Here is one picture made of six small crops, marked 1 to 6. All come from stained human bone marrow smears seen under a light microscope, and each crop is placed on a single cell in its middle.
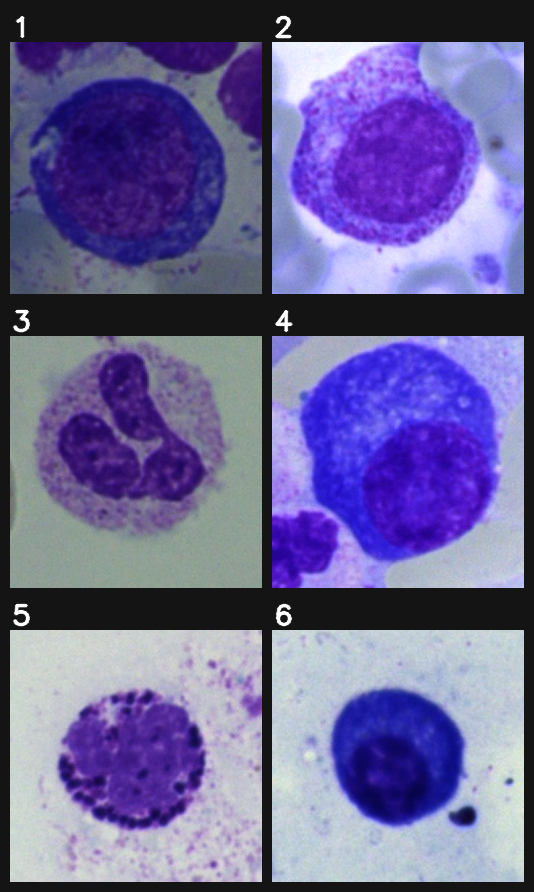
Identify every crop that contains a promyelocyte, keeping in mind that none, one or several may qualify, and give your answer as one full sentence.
Among these crops, only crop 2 contains a promyelocyte.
